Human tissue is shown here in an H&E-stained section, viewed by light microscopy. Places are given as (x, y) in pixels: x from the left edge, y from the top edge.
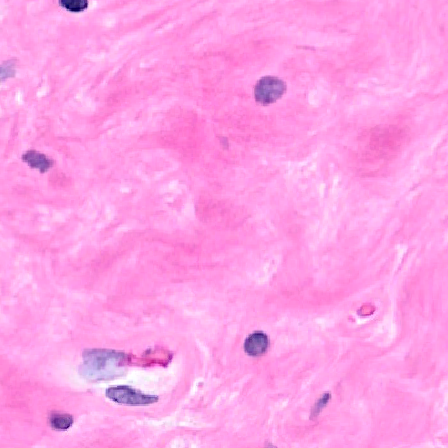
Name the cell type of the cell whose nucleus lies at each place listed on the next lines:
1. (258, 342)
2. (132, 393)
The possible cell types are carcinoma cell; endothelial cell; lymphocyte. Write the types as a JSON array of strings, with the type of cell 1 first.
["lymphocyte", "endothelial cell"]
